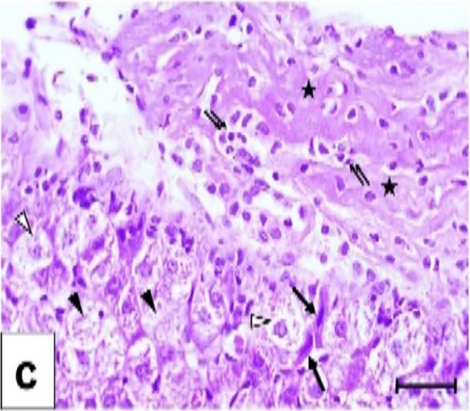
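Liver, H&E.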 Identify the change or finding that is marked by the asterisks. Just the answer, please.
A: Massive fibrotic area.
